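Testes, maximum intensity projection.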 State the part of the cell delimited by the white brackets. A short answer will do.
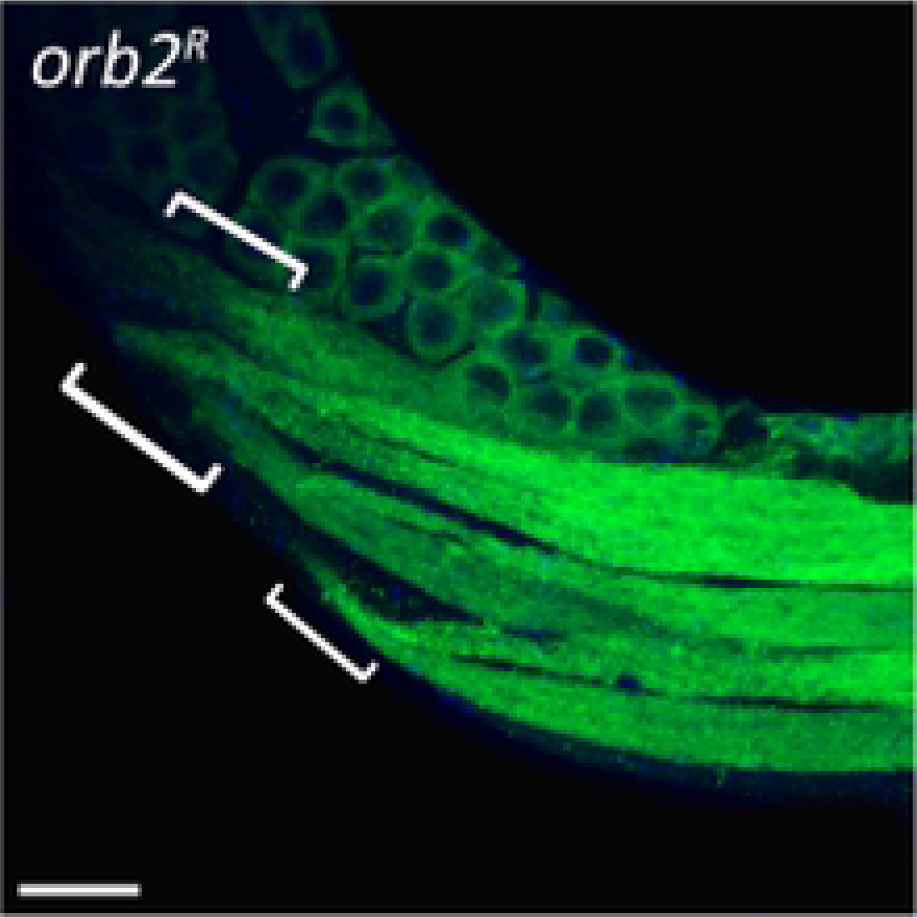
Spermatid cyst tail ends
